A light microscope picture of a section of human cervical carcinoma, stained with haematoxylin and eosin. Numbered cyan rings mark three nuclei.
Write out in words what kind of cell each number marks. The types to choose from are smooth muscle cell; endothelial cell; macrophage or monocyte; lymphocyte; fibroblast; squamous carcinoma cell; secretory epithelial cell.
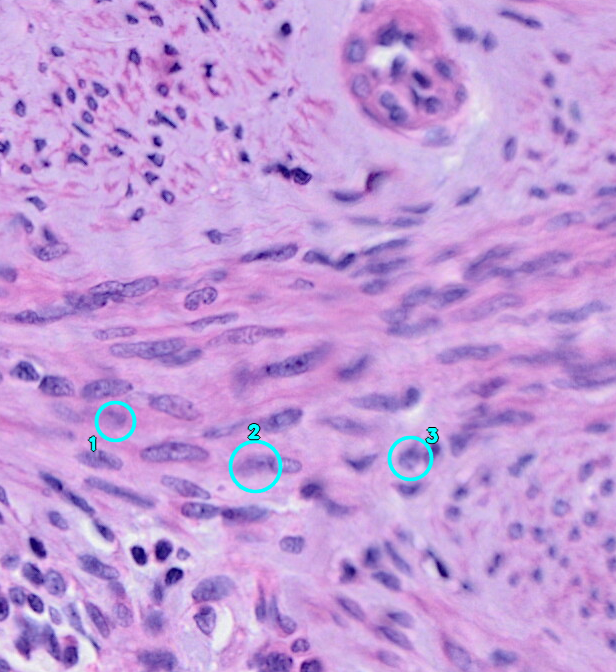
Cells 1 and 2 are smooth muscle cells. Cell 3 is a fibroblast.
